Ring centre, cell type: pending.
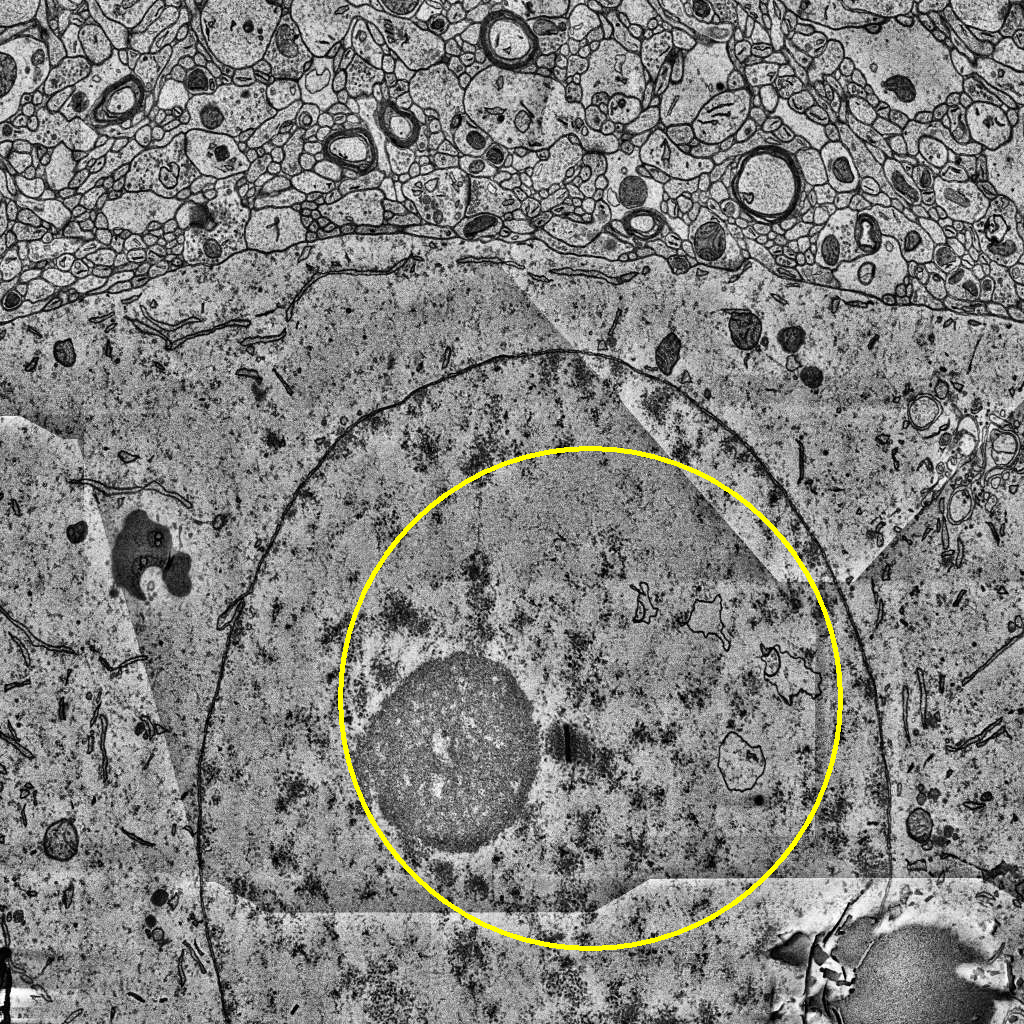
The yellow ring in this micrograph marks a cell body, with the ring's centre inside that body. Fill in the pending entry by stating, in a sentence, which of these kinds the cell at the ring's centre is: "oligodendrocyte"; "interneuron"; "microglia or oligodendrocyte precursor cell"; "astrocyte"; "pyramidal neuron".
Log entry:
The cell at the ring's centre is recorded as a pyramidal neuron.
